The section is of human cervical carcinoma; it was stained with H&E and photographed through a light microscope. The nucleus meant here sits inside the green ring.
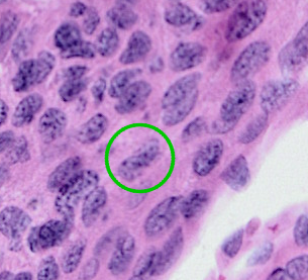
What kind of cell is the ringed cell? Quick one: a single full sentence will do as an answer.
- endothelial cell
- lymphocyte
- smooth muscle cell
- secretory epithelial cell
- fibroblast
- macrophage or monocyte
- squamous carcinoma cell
As classified here, the ringed cell is a squamous carcinoma cell.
